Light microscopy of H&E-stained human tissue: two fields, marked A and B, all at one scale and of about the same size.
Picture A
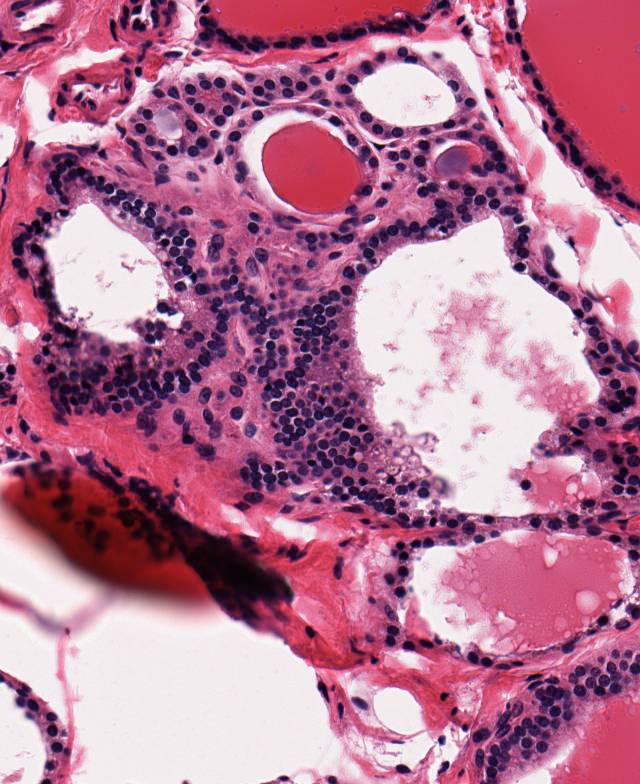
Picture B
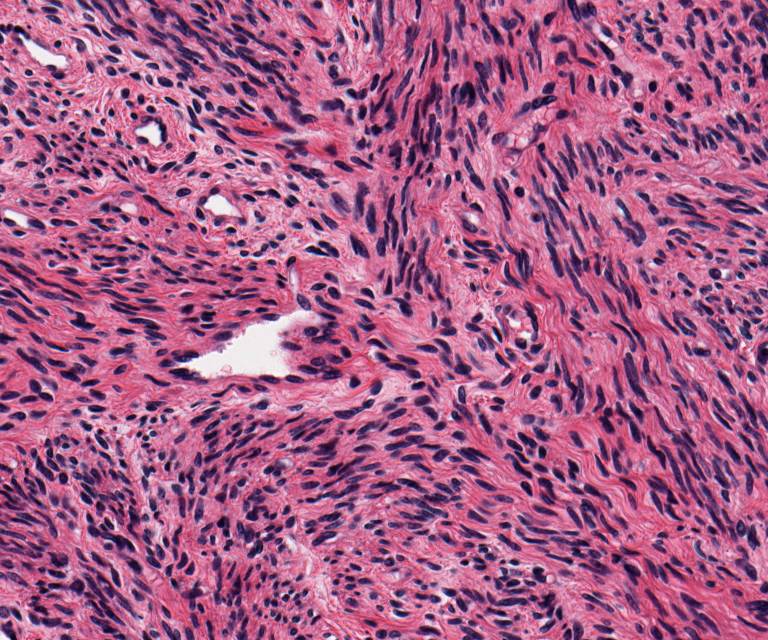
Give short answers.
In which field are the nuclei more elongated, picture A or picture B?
B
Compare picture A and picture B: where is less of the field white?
B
